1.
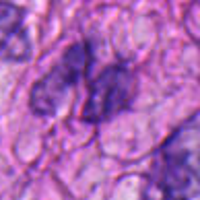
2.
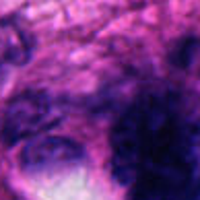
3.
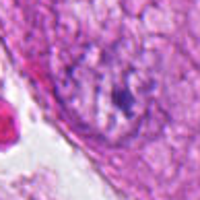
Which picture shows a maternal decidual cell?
Picture 3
